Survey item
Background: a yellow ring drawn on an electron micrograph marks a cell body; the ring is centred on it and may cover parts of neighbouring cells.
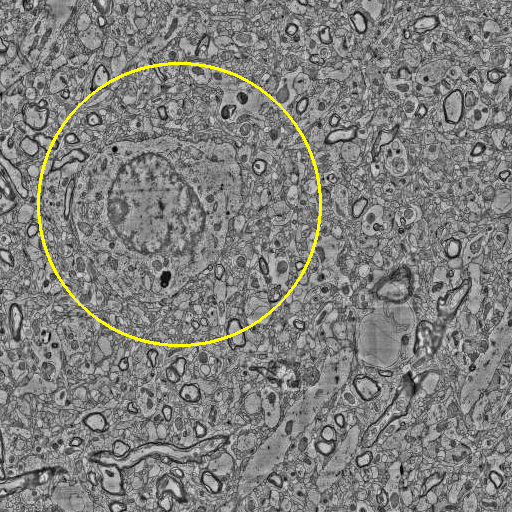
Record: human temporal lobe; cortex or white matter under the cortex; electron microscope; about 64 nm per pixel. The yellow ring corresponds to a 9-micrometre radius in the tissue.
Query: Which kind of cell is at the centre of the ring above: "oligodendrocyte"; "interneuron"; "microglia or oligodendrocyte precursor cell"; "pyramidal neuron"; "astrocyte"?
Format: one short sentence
The cell in the middle of the ring is an interneuron.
